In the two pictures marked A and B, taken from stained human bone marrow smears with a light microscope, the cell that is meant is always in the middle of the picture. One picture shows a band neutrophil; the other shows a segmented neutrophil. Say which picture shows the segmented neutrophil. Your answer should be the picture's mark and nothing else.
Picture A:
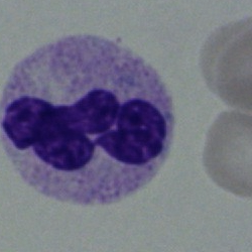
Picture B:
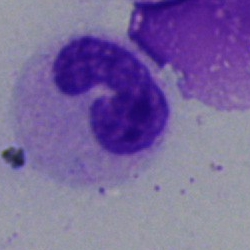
A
